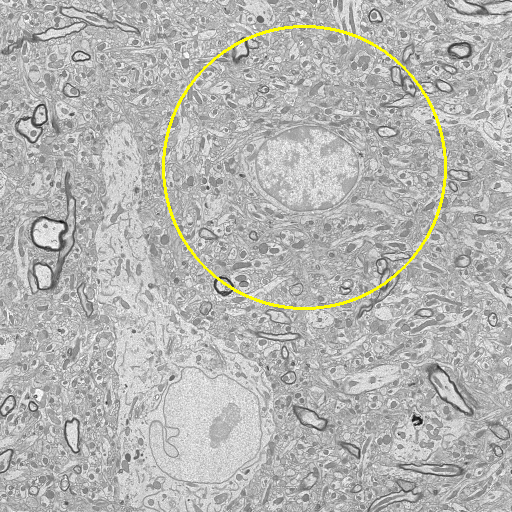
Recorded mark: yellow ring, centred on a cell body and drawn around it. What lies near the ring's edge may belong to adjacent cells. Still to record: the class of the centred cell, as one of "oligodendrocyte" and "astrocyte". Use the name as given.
oligodendrocyte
